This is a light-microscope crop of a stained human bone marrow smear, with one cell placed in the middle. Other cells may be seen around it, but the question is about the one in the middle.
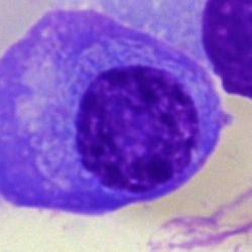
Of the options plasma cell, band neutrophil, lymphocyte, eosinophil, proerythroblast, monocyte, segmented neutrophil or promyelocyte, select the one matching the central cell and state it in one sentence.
At the crop's centre, the cell is a plasma cell.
